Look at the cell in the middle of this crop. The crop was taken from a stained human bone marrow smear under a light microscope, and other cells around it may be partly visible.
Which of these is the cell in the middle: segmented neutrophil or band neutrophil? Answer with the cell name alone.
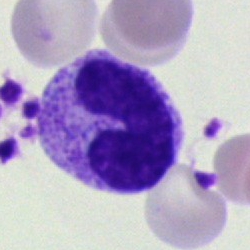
band neutrophil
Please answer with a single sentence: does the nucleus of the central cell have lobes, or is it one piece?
A single compact nucleus is present, shaped round, oval or like a kidney.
